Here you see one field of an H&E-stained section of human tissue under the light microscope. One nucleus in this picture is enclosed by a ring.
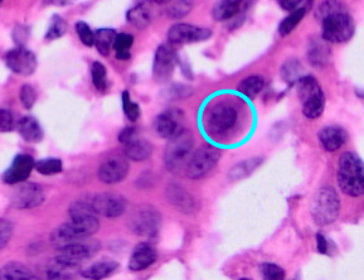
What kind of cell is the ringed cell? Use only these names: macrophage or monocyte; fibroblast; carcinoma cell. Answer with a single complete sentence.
Typologically, the ringed cell is a carcinoma cell in this section.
